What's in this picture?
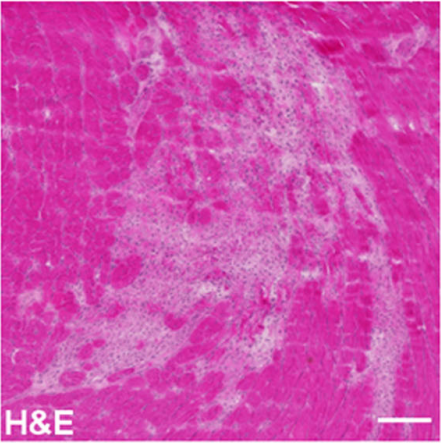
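This is heart muscle in which a large pale region is filled with densely packed small, dark, round nuclei of inflammatory infiltrates. Within and around this region the pink-stained muscle fibres are broken into irregular, separated fragments, while the surrounding myocardium remains compact and intensely pink.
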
